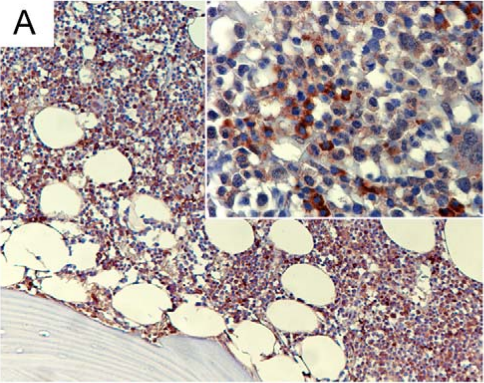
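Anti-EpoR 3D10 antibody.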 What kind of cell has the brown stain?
Erythroid precursor cells.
